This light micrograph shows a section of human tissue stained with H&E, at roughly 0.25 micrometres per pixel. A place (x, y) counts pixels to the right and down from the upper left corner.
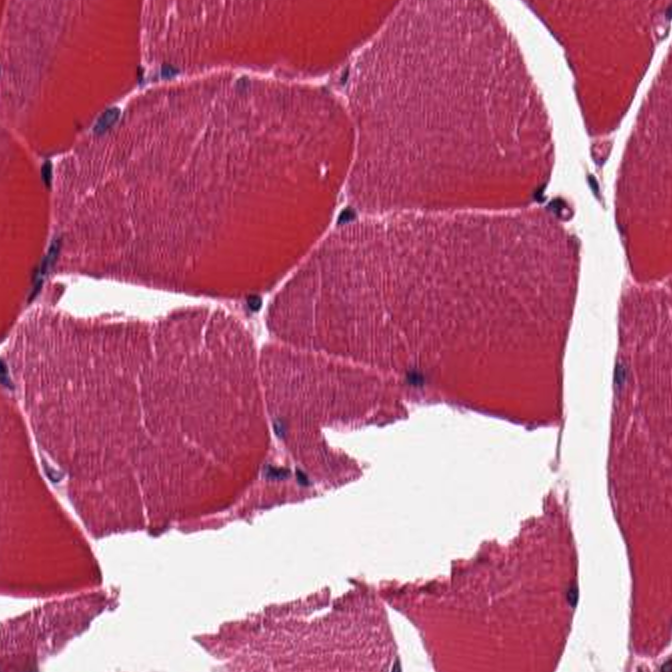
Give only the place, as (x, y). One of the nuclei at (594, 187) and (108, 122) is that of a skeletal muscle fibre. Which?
(108, 122)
